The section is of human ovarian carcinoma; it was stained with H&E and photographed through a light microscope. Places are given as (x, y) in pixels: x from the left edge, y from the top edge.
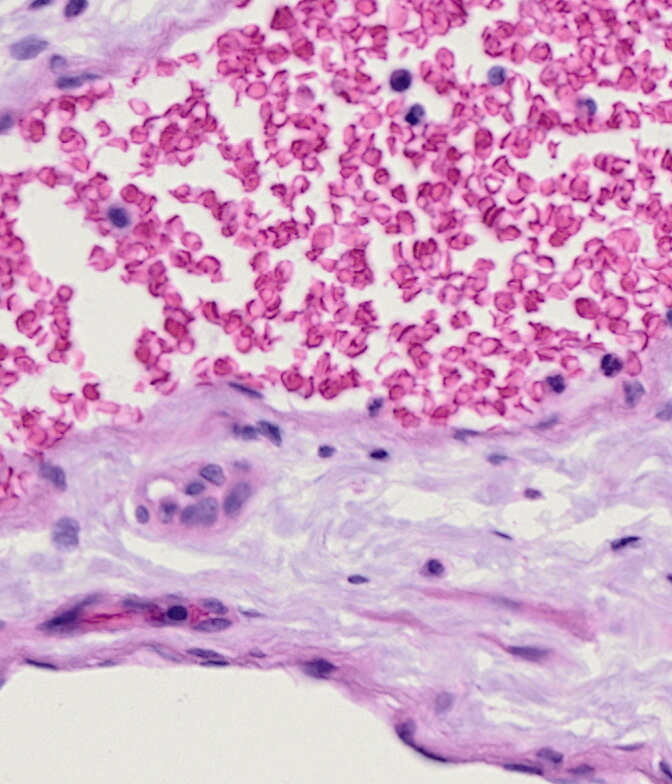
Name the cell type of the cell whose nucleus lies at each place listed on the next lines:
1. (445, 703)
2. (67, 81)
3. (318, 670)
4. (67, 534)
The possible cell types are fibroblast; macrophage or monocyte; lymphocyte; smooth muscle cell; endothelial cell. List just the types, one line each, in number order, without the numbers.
fibroblast
endothelial cell
endothelial cell
fibroblast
